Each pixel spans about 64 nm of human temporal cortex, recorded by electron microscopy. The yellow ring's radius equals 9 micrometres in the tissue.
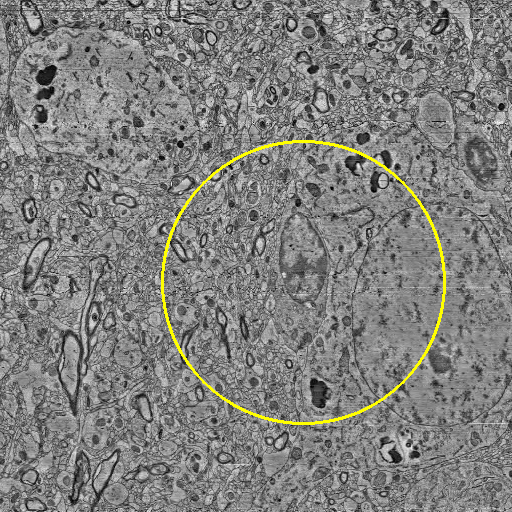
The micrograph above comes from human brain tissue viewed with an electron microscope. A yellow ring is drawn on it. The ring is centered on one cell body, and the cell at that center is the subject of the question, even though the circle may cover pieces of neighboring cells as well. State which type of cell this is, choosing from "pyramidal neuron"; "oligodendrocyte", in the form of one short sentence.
The cell the ring is centered on is an oligodendrocyte.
